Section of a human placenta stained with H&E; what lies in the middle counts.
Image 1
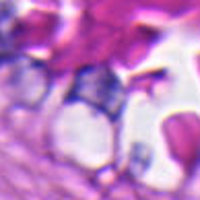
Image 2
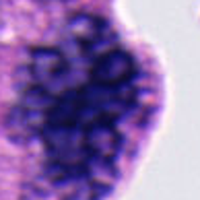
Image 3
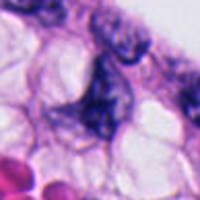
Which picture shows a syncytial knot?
Picture 2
